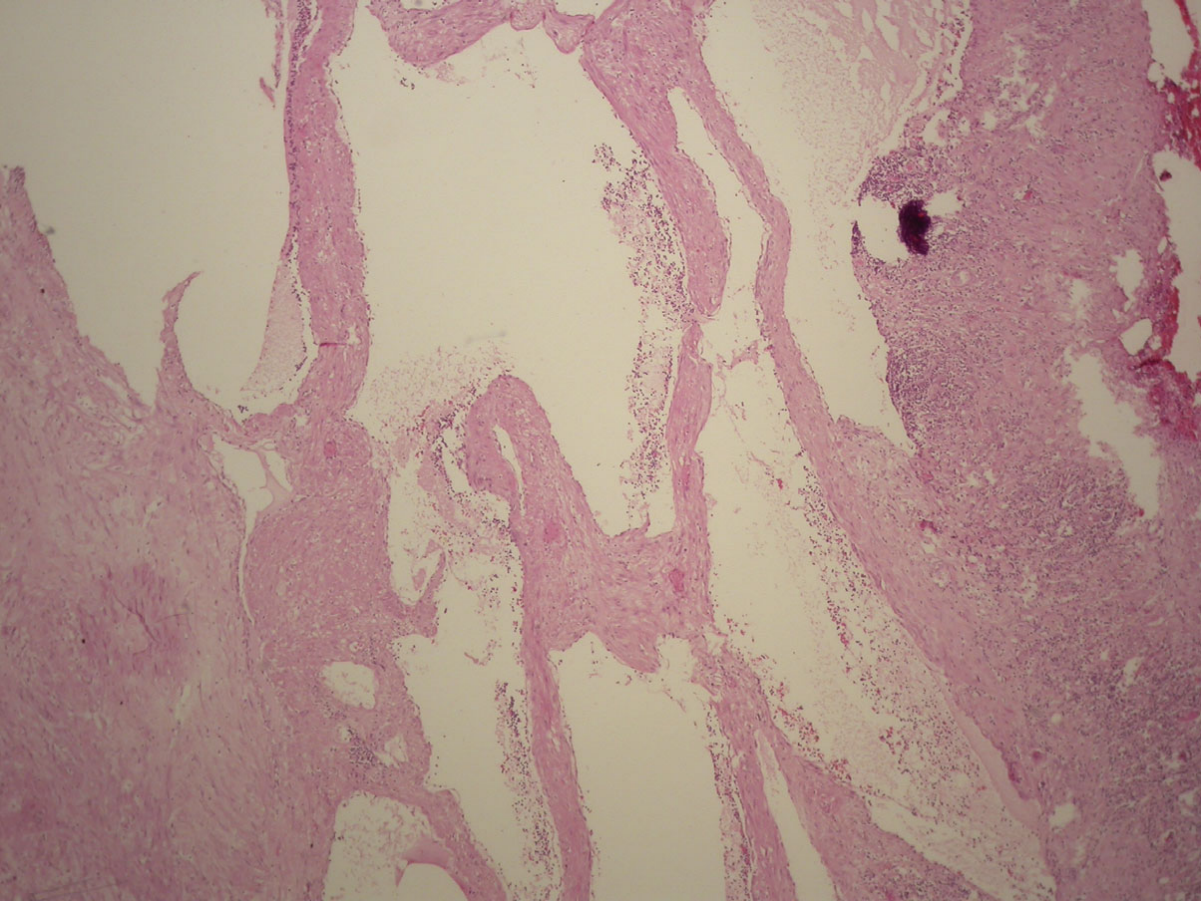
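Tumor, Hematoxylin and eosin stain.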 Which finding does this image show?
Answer: Multicystic.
